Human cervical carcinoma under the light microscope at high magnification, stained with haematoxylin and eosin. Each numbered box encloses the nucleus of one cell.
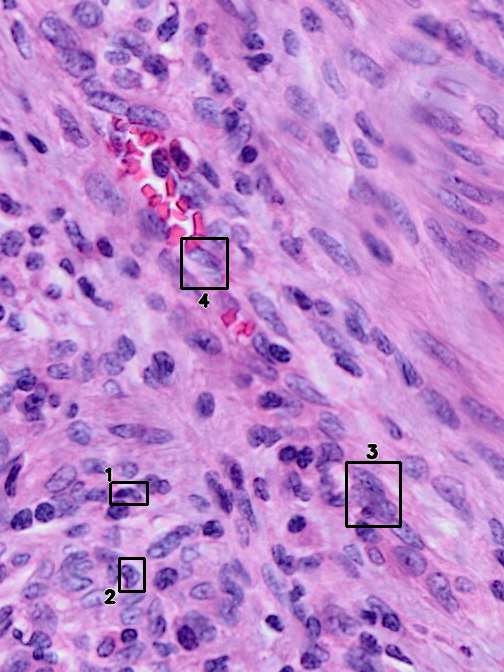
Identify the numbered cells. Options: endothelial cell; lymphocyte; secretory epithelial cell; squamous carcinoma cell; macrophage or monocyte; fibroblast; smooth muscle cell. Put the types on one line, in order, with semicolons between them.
lymphocyte; lymphocyte; endothelial cell; endothelial cell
